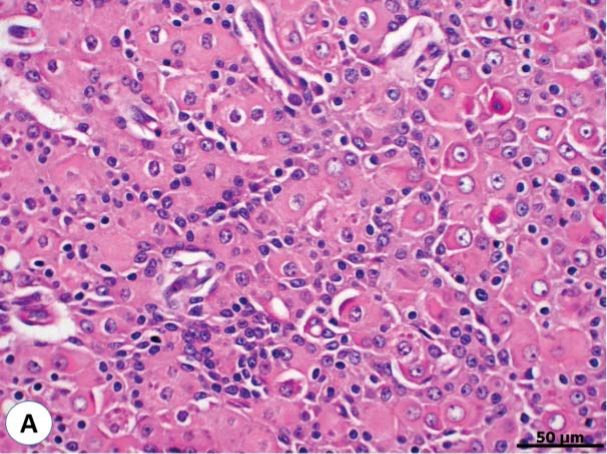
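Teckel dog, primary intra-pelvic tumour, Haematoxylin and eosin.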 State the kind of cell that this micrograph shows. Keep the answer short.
hepatoid cells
